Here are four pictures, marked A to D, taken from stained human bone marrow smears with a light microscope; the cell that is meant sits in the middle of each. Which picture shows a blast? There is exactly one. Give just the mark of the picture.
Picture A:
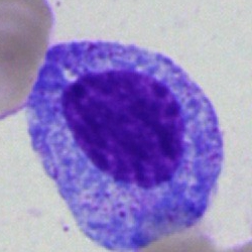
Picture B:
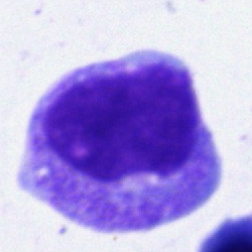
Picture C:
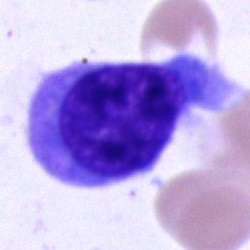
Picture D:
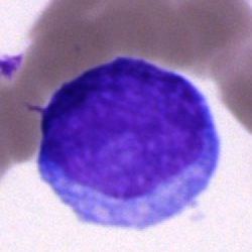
D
